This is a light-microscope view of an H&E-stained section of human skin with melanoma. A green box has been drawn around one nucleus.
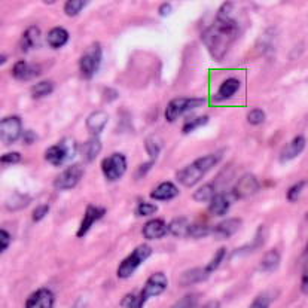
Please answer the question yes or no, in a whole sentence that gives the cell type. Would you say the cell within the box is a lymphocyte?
Yes, the cell within the box is recognized as a lymphocyte in this section.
